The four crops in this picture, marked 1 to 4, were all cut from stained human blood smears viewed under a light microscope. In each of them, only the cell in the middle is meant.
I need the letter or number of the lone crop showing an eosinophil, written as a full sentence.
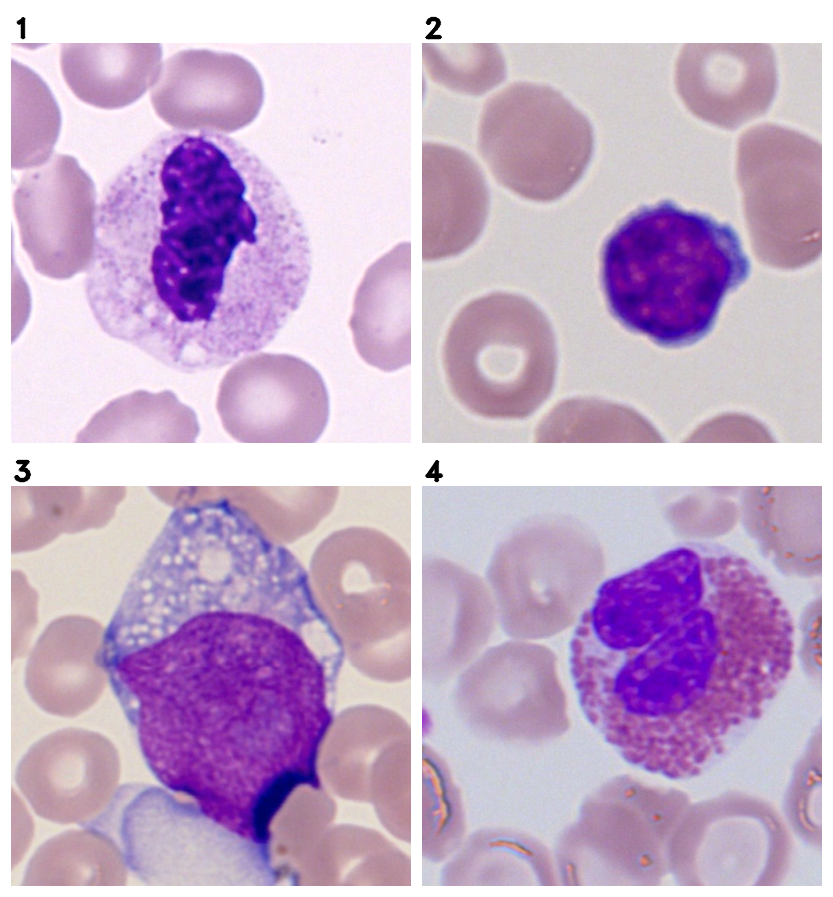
Of the labelled crops, the one that shows an eosinophil is crop 4.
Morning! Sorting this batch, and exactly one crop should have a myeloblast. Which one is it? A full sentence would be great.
The crop showing a myeloblast in this series is crop 3.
